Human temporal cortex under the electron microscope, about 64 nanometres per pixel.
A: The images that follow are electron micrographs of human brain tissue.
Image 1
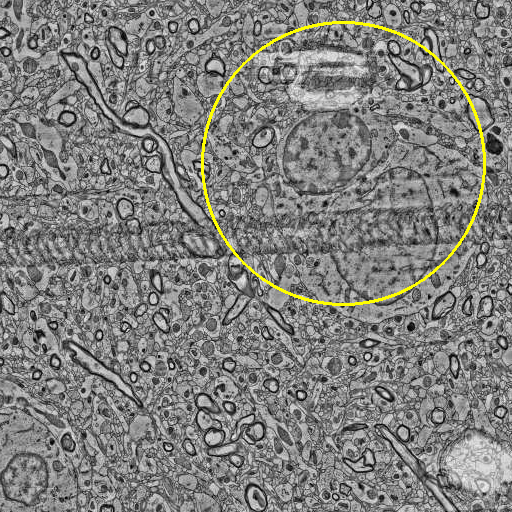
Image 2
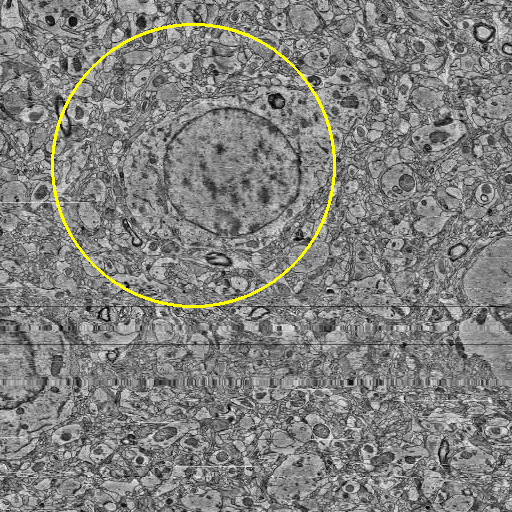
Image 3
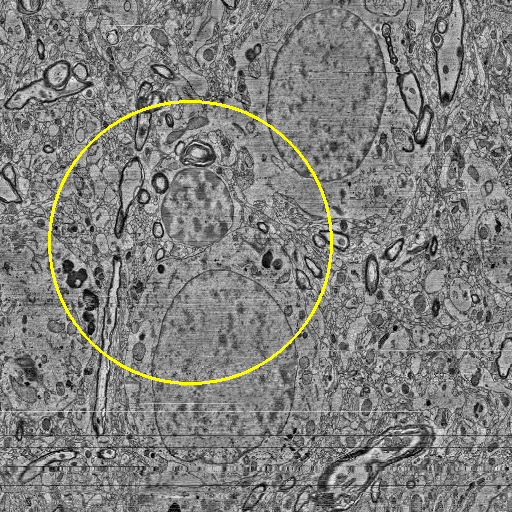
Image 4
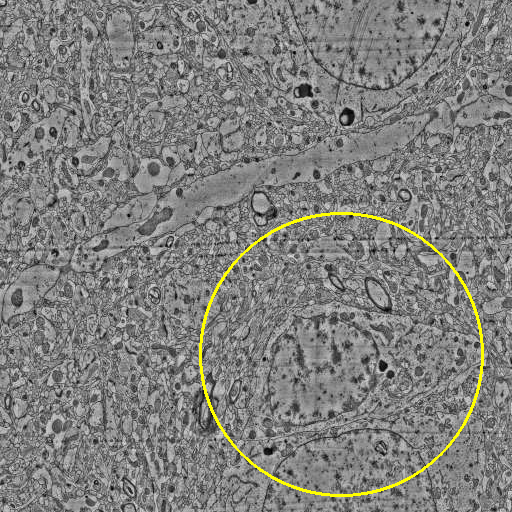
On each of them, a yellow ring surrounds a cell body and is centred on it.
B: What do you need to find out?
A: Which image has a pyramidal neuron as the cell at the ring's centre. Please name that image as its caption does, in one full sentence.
Image 2 is the one whose ring has the sought cell at its centre.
